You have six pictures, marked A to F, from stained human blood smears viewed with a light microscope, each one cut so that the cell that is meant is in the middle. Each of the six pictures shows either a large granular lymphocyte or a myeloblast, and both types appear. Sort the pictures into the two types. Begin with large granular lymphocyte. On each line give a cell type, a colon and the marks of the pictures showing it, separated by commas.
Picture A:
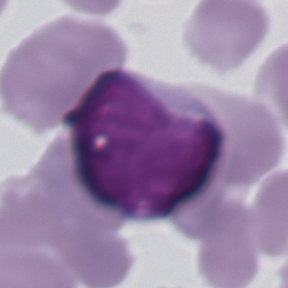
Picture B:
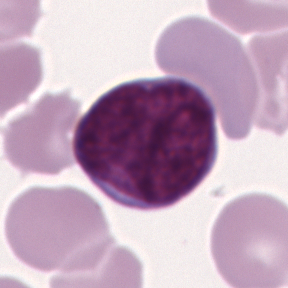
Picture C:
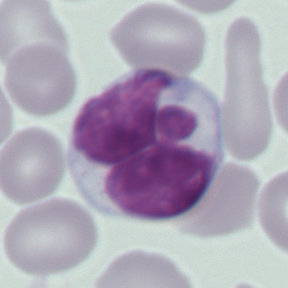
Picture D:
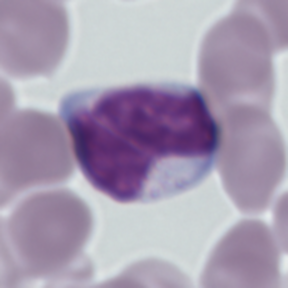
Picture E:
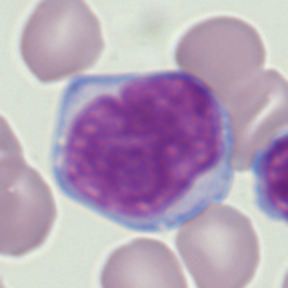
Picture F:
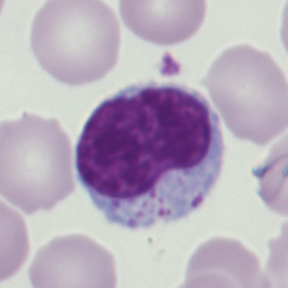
large granular lymphocyte: C, D, F
myeloblast: A, B, E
